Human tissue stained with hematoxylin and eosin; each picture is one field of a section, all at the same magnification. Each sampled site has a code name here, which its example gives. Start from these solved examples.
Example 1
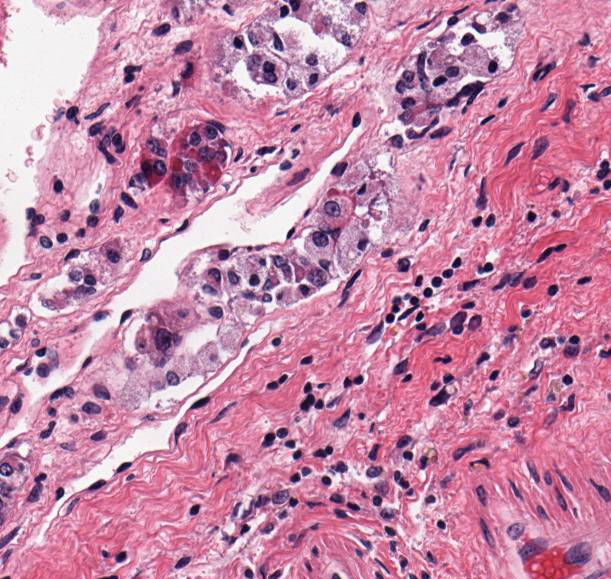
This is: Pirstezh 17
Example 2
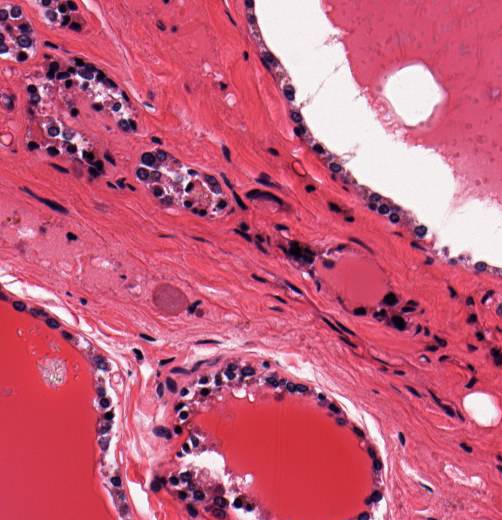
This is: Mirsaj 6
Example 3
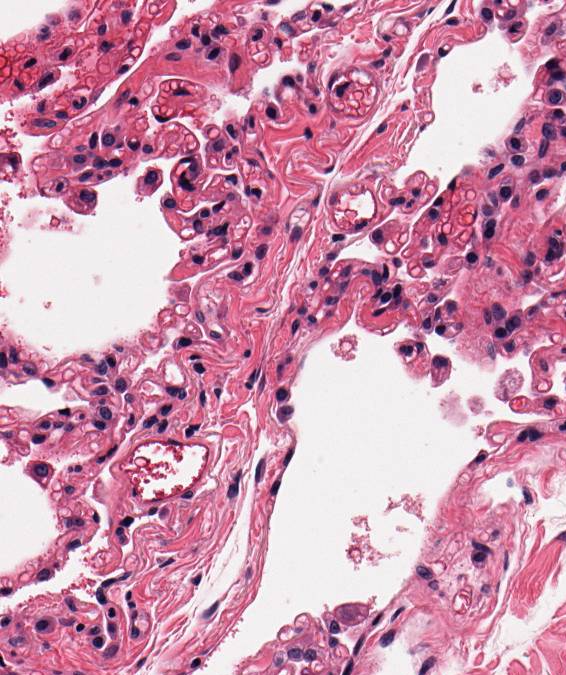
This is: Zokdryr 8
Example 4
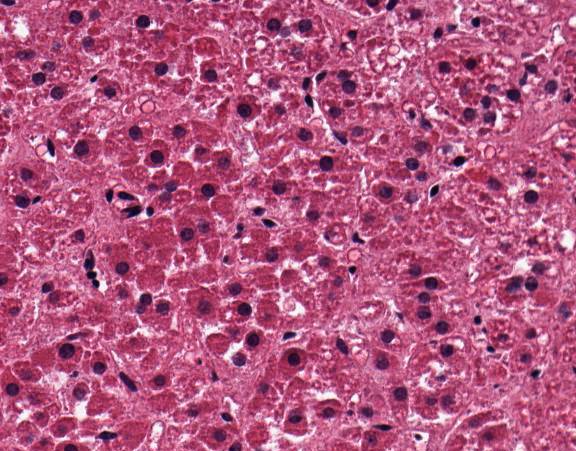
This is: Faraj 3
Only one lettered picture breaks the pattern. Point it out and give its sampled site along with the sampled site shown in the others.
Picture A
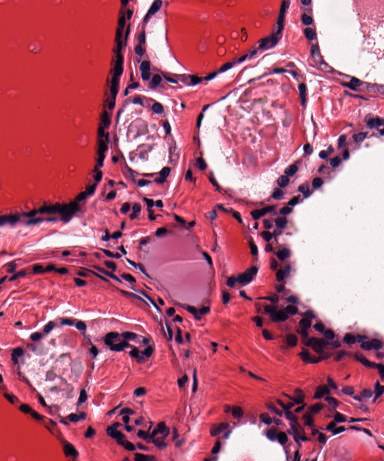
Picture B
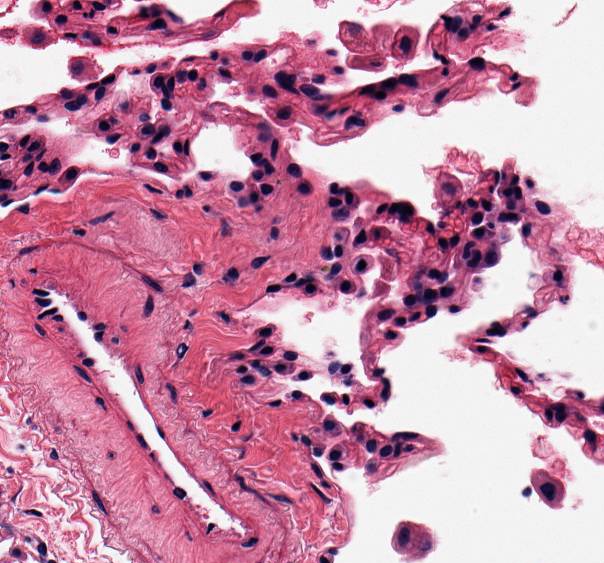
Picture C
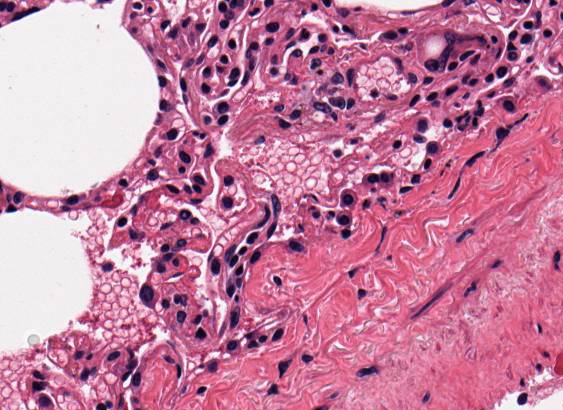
Exception: A, showing Mirsaj 6. Remaining pictures: Zokdryr 8.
